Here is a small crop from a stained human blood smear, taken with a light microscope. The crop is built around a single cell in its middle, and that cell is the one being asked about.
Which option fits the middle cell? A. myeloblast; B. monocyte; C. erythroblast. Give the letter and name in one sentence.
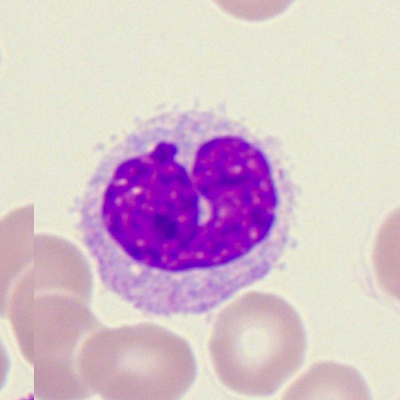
In the centre of the crop there is a monocyte, making option B correct.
